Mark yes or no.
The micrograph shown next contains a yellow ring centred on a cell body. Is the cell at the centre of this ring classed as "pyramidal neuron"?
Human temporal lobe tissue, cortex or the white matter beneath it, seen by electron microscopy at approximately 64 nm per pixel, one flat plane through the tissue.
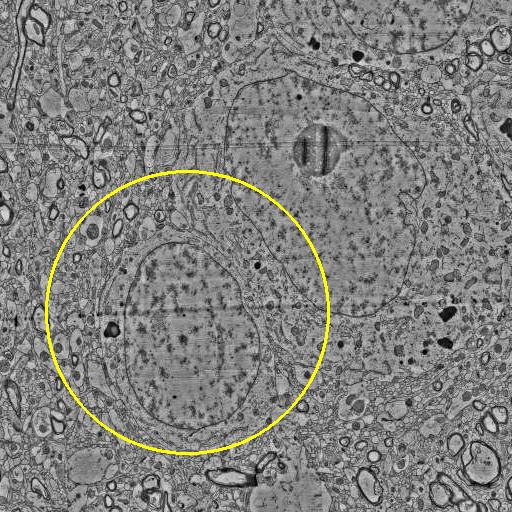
yes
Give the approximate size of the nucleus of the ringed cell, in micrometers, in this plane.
In this plane the nucleus spans approximately 12 by 9 micrometers.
